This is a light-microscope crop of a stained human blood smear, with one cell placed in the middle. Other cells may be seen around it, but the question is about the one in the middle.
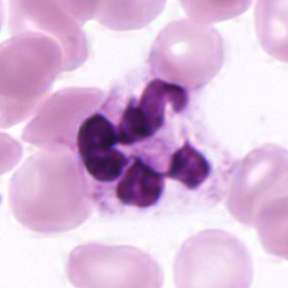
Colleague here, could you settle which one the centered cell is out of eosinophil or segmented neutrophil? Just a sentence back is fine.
The central cell shown in this smear crop is a segmented neutrophil.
